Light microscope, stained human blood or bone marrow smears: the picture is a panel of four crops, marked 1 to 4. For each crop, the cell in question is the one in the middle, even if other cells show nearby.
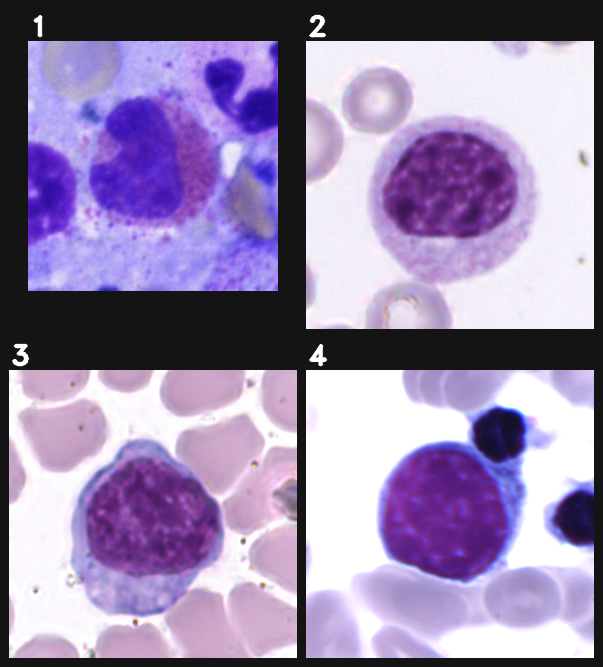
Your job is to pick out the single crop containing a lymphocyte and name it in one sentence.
Crop 4 represents a lymphocyte, while the other crops do not.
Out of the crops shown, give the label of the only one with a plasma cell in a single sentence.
Crop 3 is the one that shows a plasma cell.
